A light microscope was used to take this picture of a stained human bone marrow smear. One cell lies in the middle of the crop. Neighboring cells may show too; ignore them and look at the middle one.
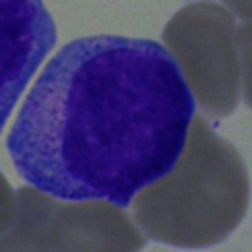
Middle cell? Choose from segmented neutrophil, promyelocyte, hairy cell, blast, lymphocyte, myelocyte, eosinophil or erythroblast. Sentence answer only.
Where the crop is centred, there is a blast.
